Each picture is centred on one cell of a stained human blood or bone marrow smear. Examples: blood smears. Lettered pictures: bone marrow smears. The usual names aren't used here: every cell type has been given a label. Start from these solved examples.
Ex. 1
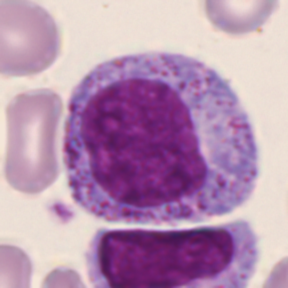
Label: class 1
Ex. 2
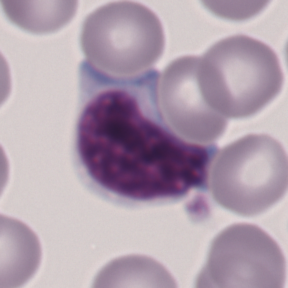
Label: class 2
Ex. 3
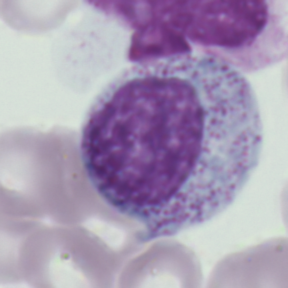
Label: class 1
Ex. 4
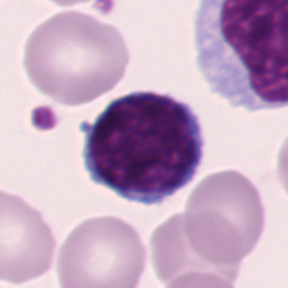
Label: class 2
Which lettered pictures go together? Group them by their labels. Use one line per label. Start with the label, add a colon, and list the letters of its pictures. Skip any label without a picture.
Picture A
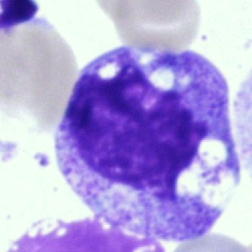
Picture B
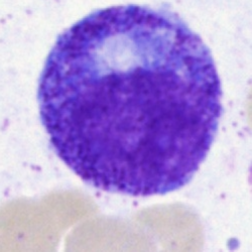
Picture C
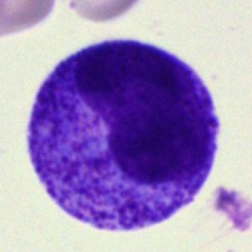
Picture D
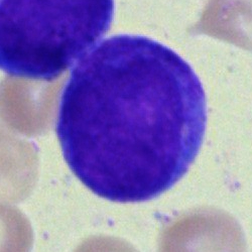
class 1: A, B, C, D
